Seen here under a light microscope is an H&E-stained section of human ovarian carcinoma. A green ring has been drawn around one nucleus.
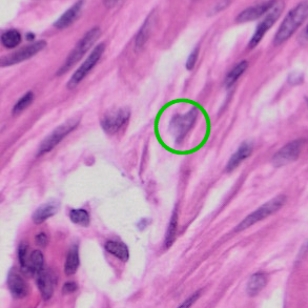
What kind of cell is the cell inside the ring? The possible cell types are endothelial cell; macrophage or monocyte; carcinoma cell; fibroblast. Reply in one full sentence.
The cell inside the ring appears to be a fibroblast.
